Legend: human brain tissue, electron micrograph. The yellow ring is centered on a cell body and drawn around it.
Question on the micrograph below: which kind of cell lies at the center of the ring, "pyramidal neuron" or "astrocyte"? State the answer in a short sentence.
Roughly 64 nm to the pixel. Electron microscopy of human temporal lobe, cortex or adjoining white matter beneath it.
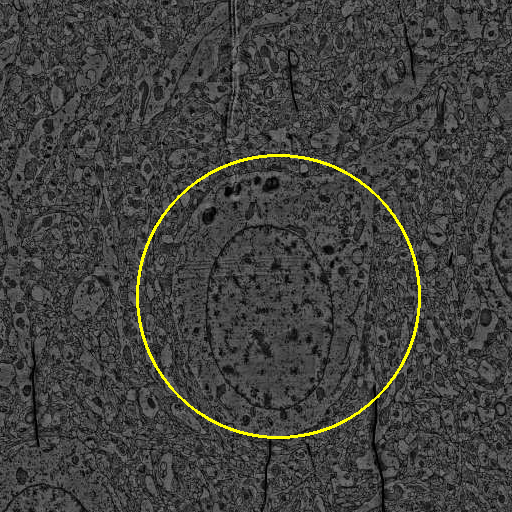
At the center of the ring lies a pyramidal neuron.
